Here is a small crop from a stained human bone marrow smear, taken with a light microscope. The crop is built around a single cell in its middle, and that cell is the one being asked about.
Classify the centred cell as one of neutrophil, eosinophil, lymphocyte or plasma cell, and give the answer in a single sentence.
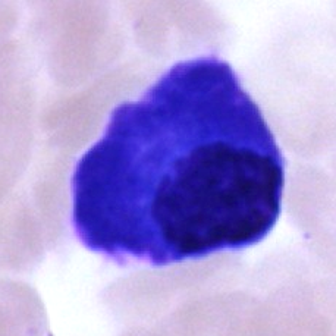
The crop shows a plasma cell in its centre.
